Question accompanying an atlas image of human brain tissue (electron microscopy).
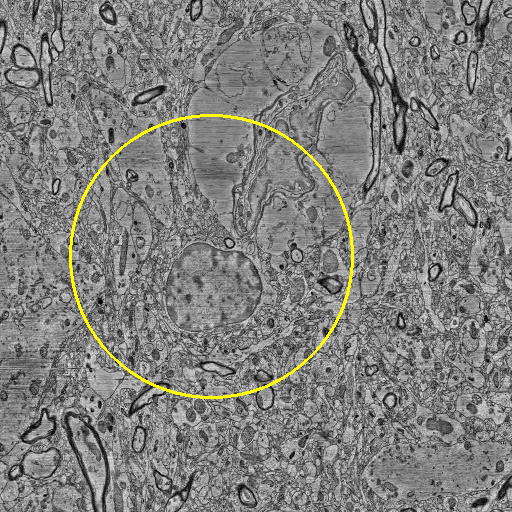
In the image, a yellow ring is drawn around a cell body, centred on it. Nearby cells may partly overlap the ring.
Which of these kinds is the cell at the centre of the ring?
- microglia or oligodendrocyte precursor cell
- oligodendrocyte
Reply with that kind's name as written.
microglia or oligodendrocyte precursor cell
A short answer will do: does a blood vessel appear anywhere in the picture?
Yes, the image shows a blood vessel.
